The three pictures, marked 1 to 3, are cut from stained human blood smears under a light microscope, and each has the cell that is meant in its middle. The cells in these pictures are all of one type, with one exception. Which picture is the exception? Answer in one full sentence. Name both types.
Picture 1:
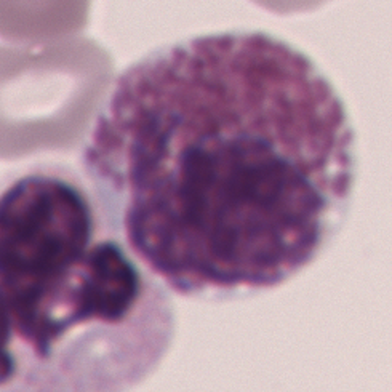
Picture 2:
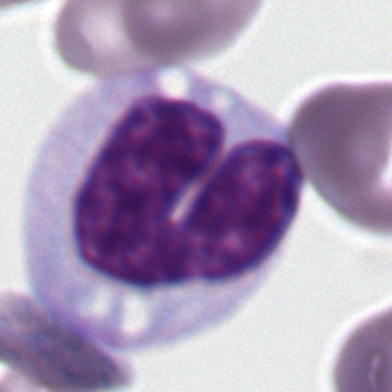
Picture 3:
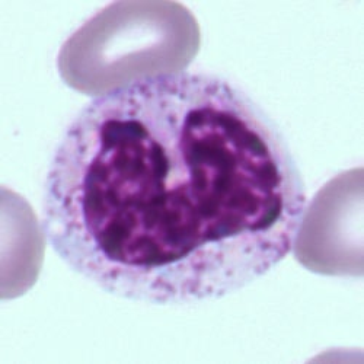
Unlike the rest, which show band neutrophils, picture 1 shows an eosinophil.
